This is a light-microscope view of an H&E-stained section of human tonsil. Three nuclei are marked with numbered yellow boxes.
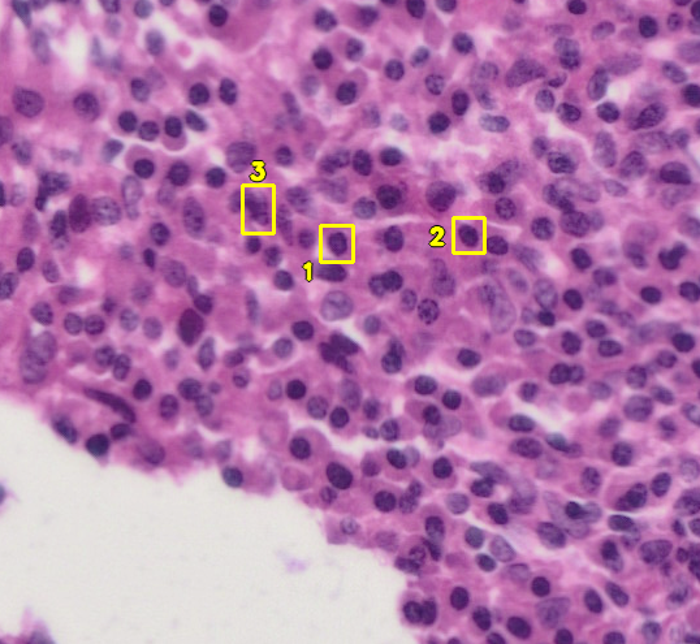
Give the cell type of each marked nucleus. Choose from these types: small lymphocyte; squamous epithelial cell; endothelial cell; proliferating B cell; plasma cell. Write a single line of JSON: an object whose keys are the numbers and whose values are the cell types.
{"1": "plasma cell", "2": "plasma cell", "3": "squamous epithelial cell"}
